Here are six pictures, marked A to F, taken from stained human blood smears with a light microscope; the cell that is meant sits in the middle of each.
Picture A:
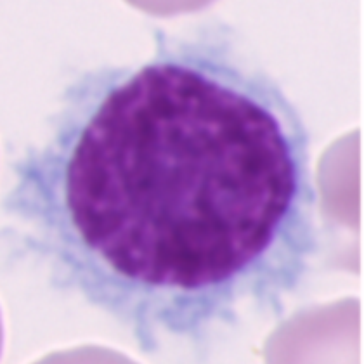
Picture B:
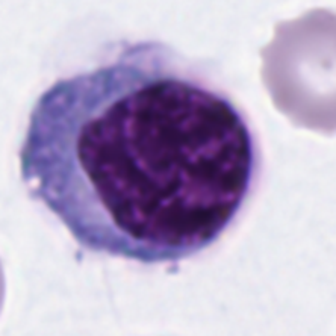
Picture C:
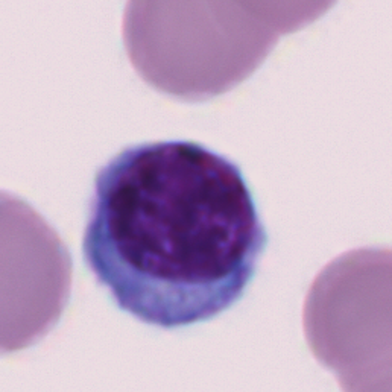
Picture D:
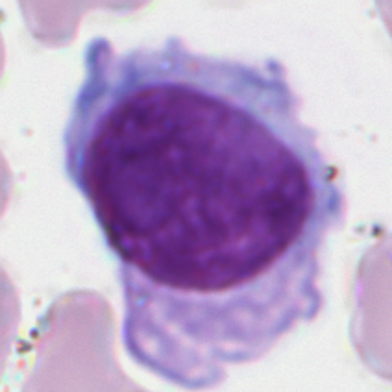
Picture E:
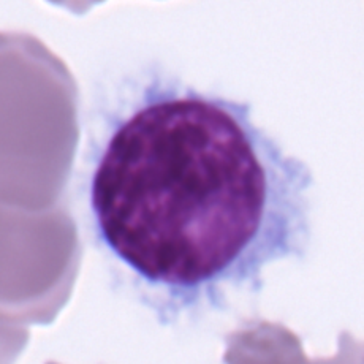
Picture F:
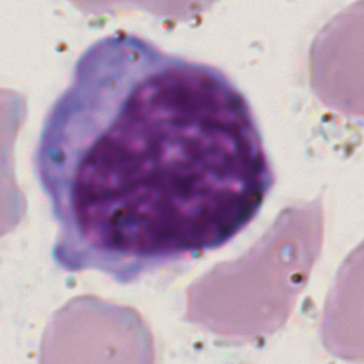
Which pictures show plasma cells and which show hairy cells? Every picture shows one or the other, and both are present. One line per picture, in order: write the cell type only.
hairy cell
plasma cell
plasma cell
plasma cell
hairy cell
plasma cell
